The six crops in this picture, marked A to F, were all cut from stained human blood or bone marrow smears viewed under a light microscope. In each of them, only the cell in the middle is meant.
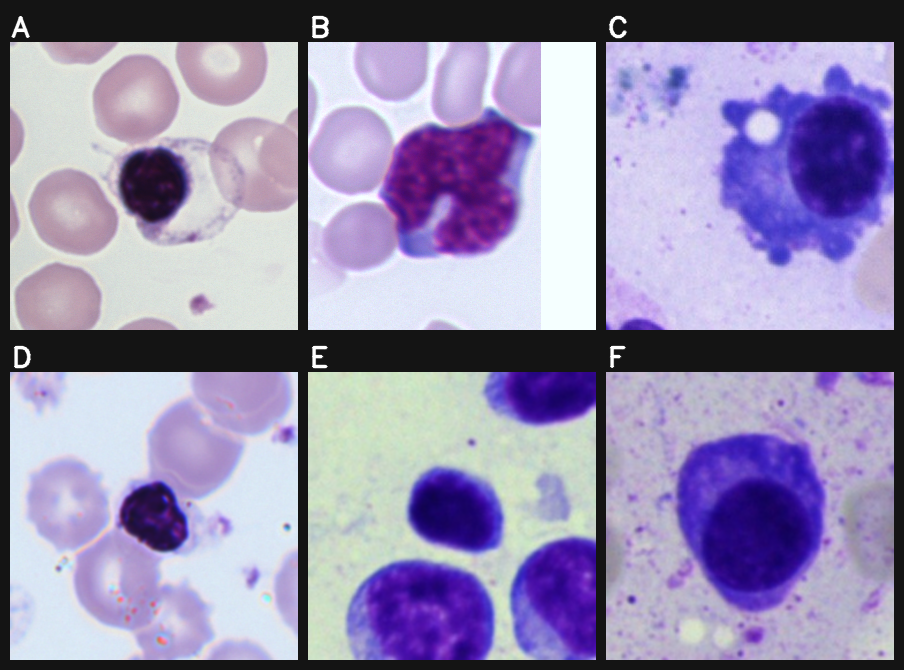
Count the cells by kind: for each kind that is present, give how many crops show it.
erythroblast: 2
lymphocyte: 2
plasma cell: 2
